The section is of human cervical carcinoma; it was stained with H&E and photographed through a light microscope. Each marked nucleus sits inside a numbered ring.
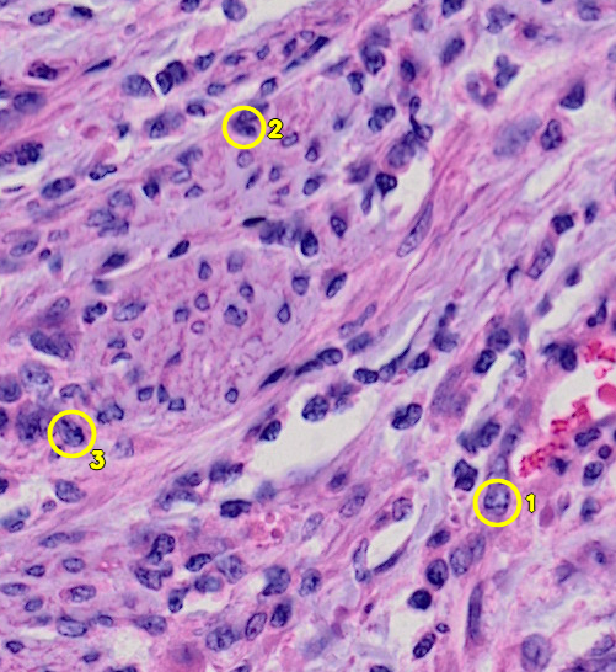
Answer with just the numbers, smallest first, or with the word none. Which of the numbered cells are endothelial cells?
1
